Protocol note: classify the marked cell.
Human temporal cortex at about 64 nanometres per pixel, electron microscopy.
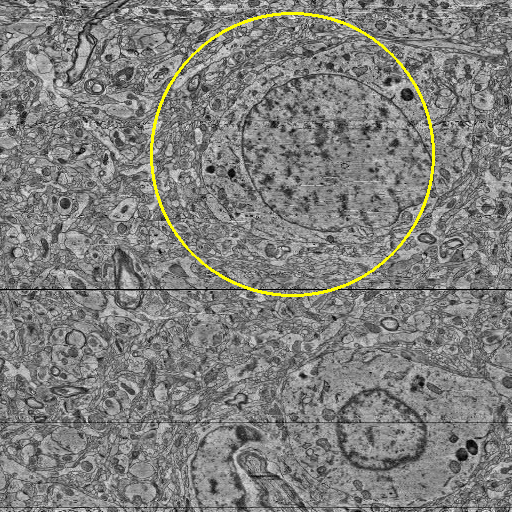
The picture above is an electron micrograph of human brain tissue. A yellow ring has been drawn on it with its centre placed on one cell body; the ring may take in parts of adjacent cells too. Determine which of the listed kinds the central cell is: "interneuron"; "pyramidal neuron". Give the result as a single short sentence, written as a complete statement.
The central cell is a pyramidal neuron.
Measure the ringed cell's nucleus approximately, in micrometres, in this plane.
Approximately 13 x 11 micrometres in this plane.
